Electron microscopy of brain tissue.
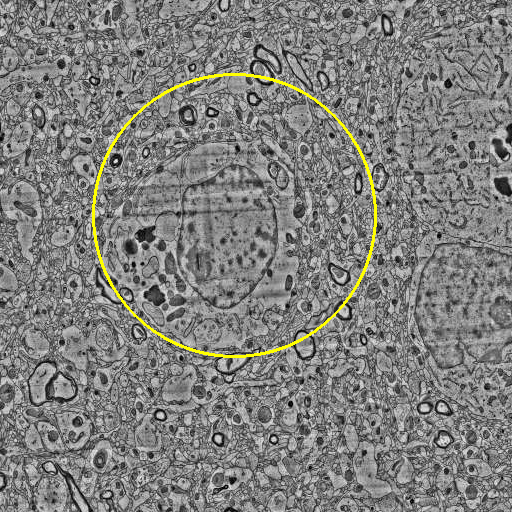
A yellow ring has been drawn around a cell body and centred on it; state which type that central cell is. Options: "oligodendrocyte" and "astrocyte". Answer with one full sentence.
The cell at the middle of the yellow ring is an astrocyte in this picture.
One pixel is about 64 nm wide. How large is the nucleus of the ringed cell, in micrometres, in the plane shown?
In this plane, approximately 9 by 6 micrometers.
